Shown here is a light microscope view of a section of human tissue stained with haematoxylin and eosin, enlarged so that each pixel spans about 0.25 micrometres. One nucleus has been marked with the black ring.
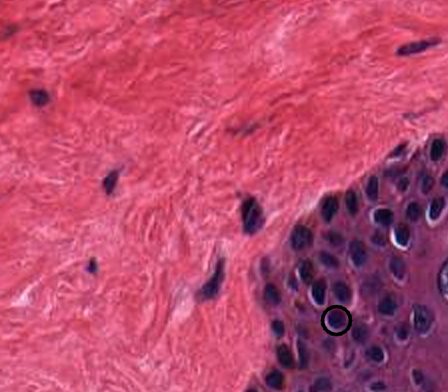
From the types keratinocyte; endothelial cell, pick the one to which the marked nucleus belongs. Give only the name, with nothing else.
keratinocyte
